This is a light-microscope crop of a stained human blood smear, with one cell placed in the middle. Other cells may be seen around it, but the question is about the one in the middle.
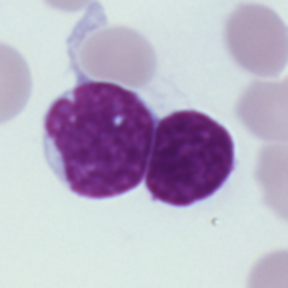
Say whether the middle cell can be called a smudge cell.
no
